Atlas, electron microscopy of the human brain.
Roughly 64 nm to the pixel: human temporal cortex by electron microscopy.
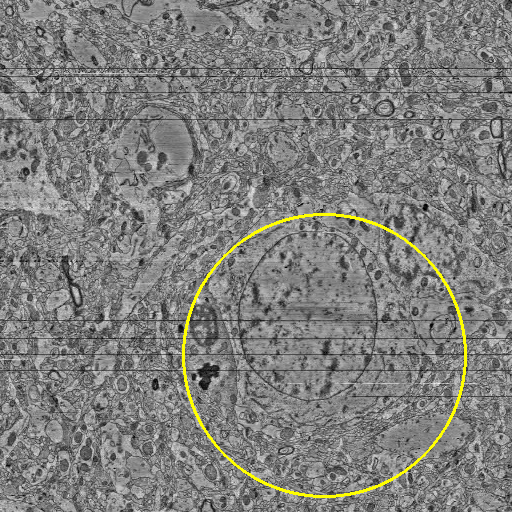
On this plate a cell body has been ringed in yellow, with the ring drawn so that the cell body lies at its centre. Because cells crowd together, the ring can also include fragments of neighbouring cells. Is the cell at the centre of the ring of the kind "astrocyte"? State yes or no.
No, it is of another kind.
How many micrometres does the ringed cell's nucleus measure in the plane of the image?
In this plane, the nucleus of the cell at the centre of the ring is about 10 micrometres across.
